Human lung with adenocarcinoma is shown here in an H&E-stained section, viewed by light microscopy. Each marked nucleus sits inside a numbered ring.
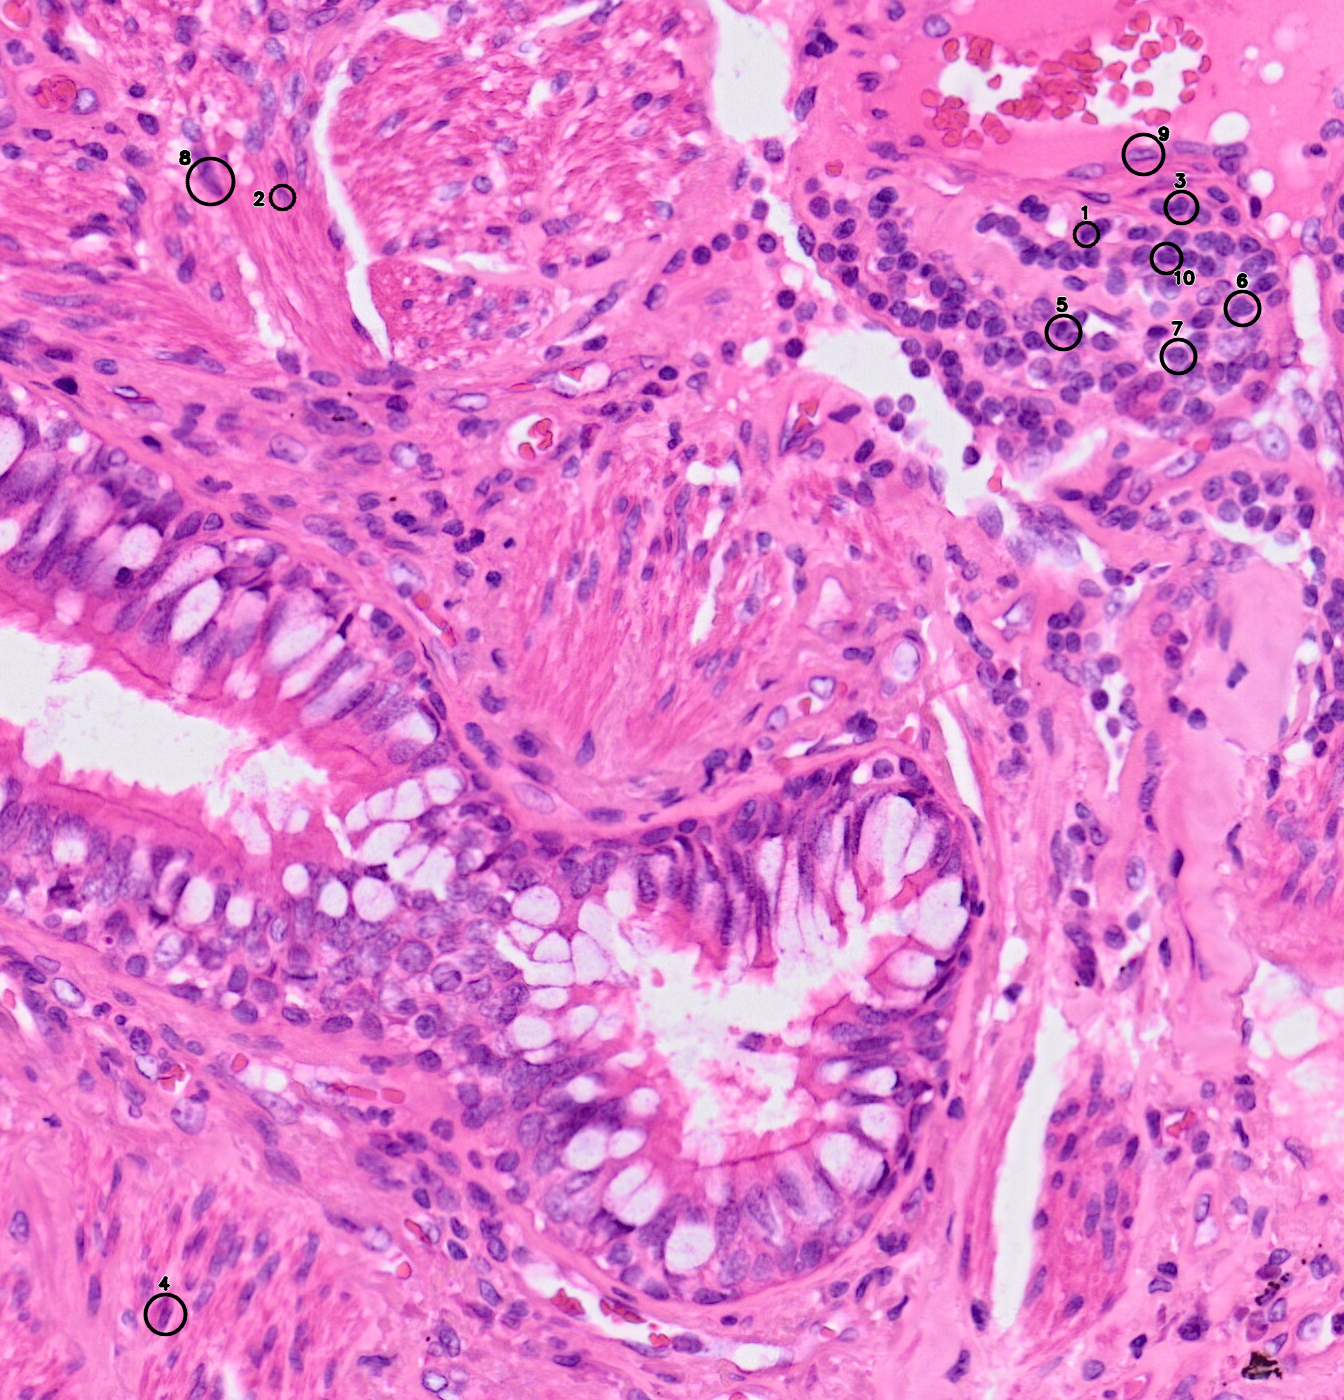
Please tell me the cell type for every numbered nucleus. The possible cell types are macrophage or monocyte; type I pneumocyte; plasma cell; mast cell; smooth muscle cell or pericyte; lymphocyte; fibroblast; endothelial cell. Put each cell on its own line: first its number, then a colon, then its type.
1: lymphocyte
2: smooth muscle cell or pericyte
3: lymphocyte
4: smooth muscle cell or pericyte
5: lymphocyte
6: lymphocyte
7: lymphocyte
8: smooth muscle cell or pericyte
9: endothelial cell
10: lymphocyte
